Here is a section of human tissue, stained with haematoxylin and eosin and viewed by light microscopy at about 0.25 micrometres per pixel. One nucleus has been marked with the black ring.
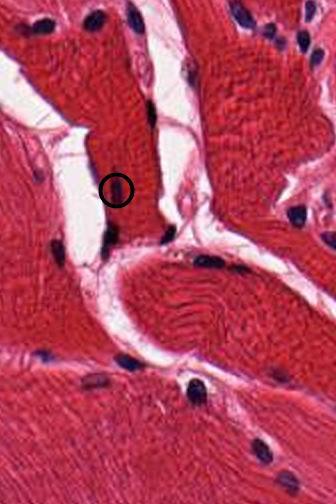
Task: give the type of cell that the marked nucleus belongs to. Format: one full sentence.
A nucleus belonging to a skeletal muscle fibre is the one marked.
